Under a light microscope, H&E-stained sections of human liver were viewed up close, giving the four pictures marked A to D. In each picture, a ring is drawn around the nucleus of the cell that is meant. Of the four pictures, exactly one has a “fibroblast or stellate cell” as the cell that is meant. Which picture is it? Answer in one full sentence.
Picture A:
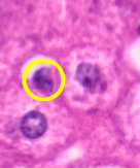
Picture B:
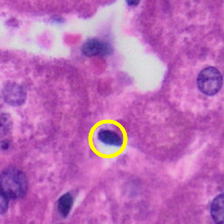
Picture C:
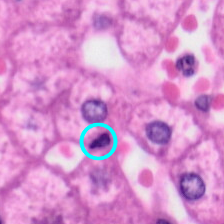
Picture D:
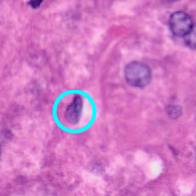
It is picture C that shows the “fibroblast or stellate cell”.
